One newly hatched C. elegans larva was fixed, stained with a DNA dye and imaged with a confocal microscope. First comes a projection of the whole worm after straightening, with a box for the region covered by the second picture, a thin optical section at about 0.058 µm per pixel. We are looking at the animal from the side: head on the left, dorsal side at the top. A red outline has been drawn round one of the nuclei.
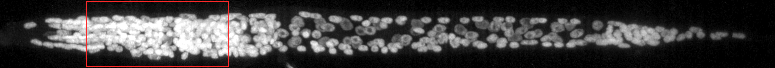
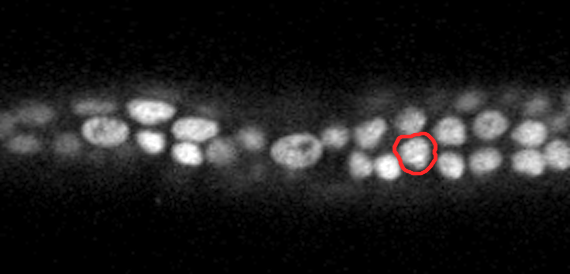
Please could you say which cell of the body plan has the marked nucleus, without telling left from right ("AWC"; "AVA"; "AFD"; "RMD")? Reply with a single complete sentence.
The marked nucleus is that of AWC, a neuron.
